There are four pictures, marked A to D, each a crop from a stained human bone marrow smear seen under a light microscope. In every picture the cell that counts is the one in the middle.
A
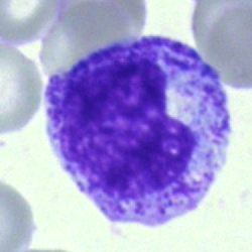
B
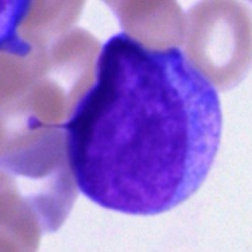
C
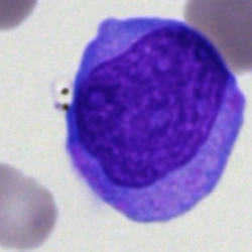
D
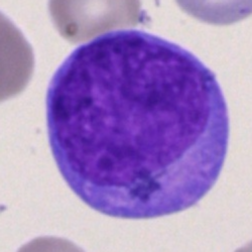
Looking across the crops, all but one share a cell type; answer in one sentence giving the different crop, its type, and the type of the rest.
With the other crops all showing blasts, crop A differs by showing a myelocyte.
